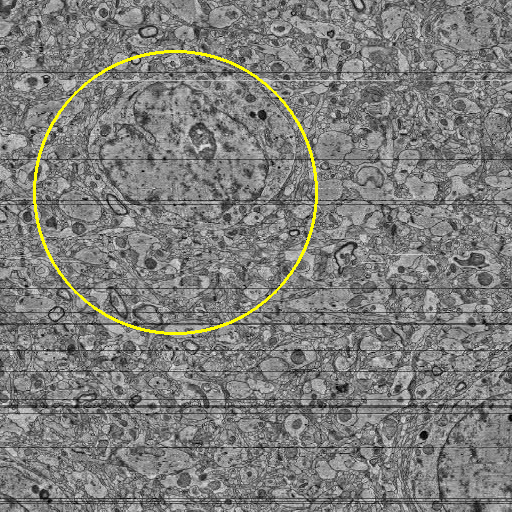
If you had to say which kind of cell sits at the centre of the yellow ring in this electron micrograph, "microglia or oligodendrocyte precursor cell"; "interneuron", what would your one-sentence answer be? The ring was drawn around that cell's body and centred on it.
The cell sitting at the centre of the ring is an interneuron.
